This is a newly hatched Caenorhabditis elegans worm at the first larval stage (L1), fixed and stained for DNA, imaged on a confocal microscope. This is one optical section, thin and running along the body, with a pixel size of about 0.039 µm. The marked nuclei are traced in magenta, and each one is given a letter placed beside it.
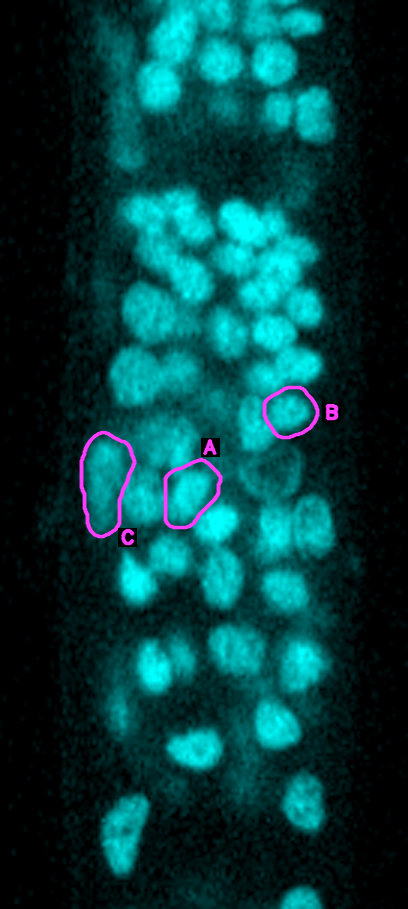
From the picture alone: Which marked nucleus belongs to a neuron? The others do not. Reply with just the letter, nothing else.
B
